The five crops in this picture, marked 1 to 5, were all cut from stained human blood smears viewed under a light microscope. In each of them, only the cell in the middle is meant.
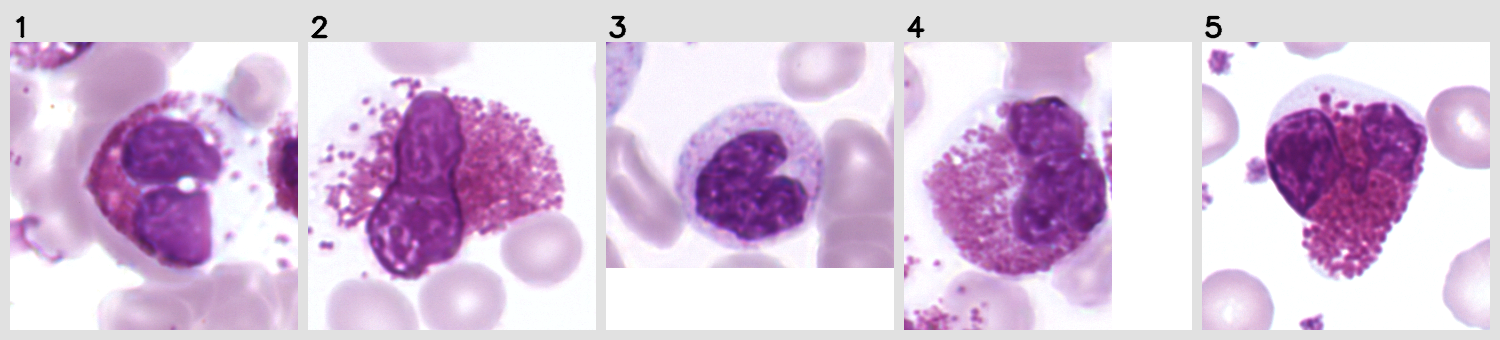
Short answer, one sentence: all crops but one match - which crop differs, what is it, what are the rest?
Only in crop 3 is there a band neutrophil; all other crops show eosinophils.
